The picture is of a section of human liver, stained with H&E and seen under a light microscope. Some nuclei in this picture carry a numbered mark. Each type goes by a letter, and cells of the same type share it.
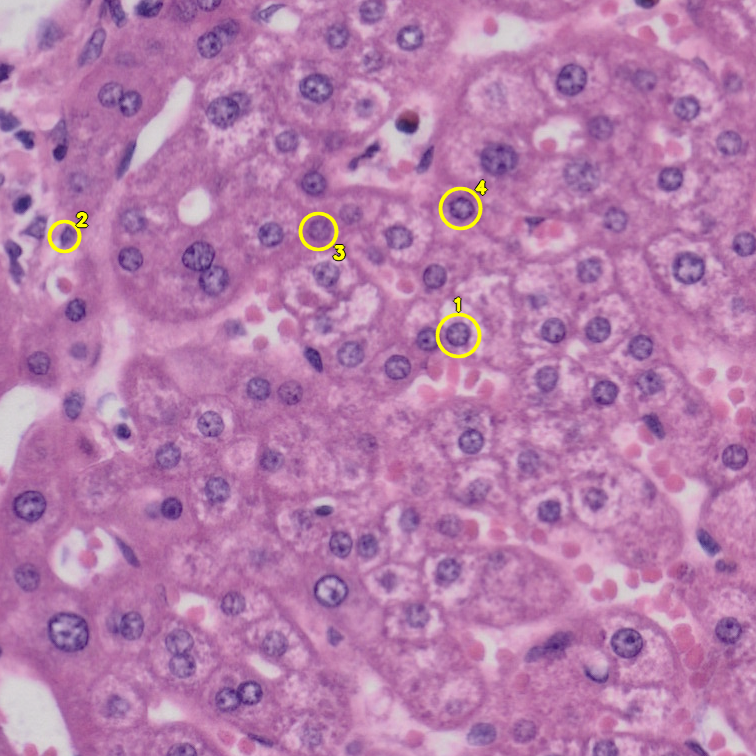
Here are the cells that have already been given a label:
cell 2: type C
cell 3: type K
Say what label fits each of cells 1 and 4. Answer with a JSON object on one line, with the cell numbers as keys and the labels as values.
{"1": "type K", "4": "type K"}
